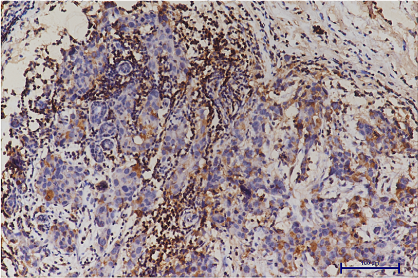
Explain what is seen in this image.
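This is a tumor section in which small immune cells infiltrating the tumor are stained dark brown. They are small and round with little cytoplasm, and they crowd densely in the stroma, forming bands and clusters that run between the tumor cell nests. The tumor cells themselves are much larger, with pale cytoplasm and oval blue nuclei, and sit in irregular nests. Some faint brownish tint is seen in parts of the tumor cytoplasm, but the intense dark brown is confined to the small infiltrating cells.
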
